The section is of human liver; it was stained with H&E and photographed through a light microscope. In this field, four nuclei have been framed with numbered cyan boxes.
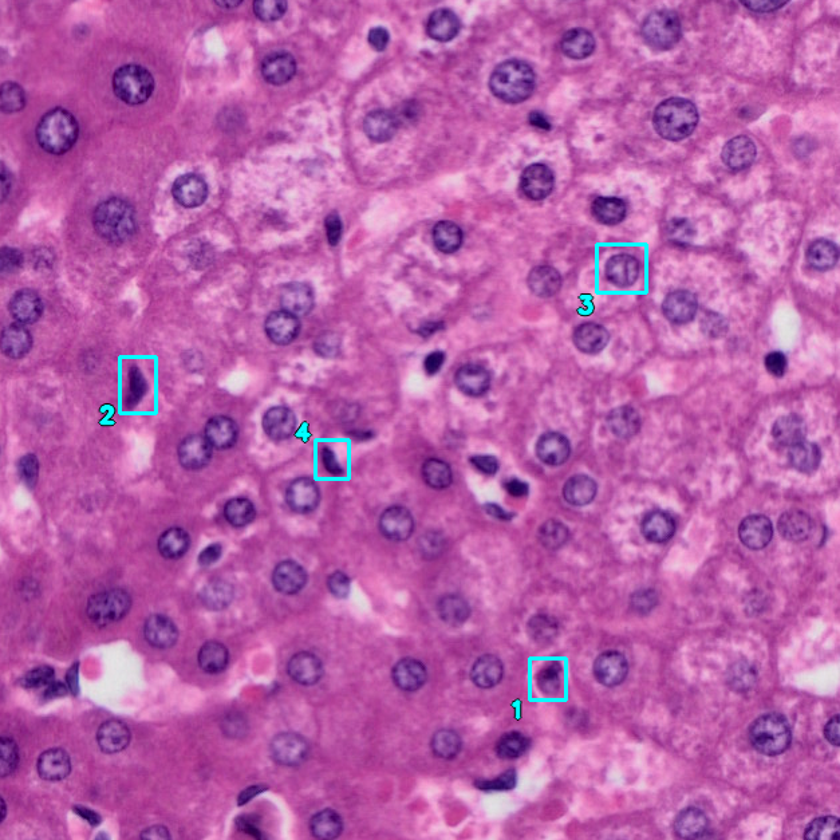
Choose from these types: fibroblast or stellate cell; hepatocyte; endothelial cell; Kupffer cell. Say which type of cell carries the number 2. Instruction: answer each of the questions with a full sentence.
The nucleus with number 2 is that of a fibroblast or stellate cell.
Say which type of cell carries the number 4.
Classified as an endothelial cell is the cell with the number 4.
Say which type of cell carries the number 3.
The nucleus with number 3 is that of a hepatocyte.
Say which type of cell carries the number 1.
The cell numbered 1 represents a Kupffer cell.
